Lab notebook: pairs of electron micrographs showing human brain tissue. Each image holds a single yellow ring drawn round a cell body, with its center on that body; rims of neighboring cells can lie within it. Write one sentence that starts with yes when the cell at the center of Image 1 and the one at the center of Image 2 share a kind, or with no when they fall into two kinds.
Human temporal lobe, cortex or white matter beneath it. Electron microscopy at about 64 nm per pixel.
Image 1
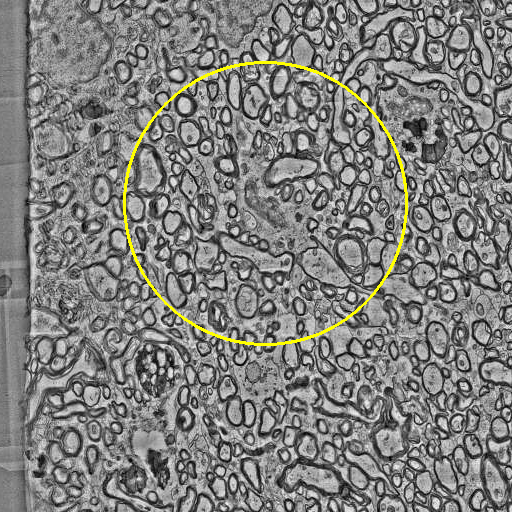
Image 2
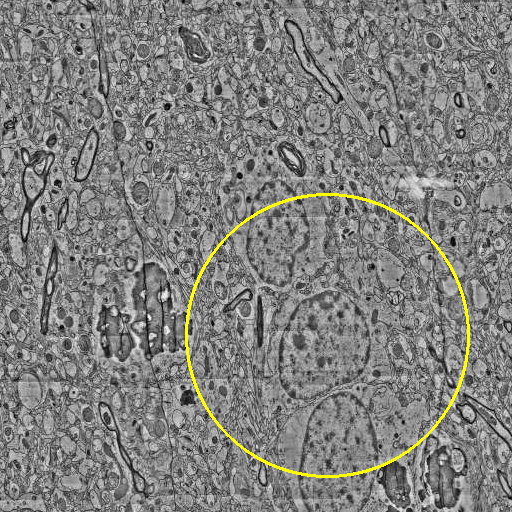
No, the centered cell in Image 1 and the centered cell in Image 2 are of two kinds.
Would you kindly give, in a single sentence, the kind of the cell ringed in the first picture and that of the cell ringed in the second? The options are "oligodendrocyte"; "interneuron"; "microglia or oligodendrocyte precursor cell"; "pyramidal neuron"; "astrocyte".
The second cell is an astrocyte, and the first cell is an oligodendrocyte.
